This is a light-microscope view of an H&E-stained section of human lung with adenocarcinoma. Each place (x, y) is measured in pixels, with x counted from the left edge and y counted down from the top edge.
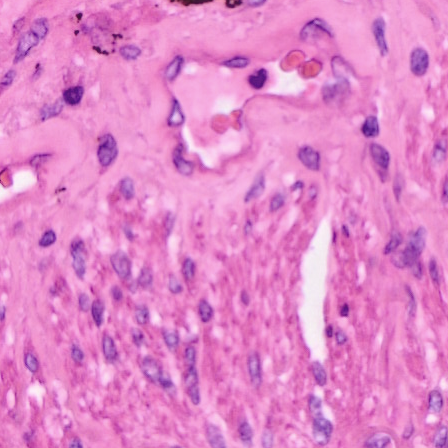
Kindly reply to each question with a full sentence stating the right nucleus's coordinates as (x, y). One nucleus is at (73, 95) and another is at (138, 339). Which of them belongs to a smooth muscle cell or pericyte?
Answering which nucleus it is: the one at (138, 339), belonging to a smooth muscle cell or pericyte.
